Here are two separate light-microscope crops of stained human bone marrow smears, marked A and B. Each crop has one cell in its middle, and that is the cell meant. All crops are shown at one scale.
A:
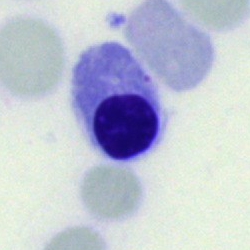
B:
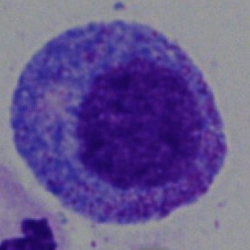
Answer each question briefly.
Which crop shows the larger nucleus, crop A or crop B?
B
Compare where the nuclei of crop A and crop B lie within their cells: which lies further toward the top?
B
